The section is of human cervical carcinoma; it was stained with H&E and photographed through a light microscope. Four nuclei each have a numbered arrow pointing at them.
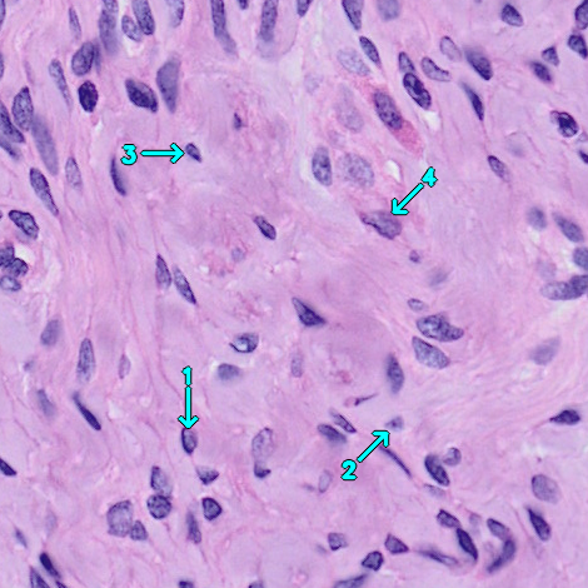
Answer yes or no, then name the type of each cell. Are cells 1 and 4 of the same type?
No, here cell 1 is a fibroblast, whereas cell 4 is a smooth muscle cell.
